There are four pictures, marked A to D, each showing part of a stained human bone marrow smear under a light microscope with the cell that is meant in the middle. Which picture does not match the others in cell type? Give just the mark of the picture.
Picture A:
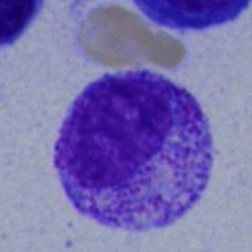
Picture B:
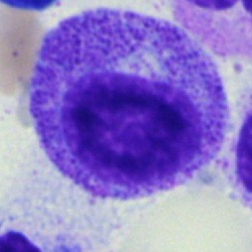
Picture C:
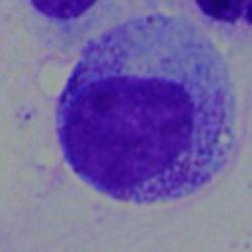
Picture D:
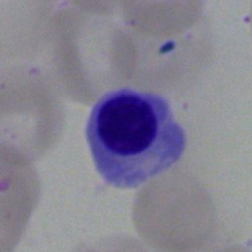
D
